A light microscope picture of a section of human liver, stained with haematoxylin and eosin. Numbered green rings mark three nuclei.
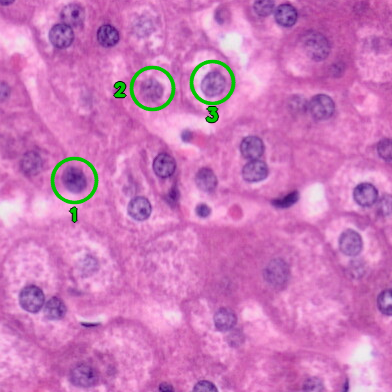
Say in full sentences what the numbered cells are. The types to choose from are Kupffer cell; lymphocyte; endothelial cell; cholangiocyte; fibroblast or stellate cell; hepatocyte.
Cell 1 is an endothelial cell. Cells 2 and 3 are hepatocytes.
